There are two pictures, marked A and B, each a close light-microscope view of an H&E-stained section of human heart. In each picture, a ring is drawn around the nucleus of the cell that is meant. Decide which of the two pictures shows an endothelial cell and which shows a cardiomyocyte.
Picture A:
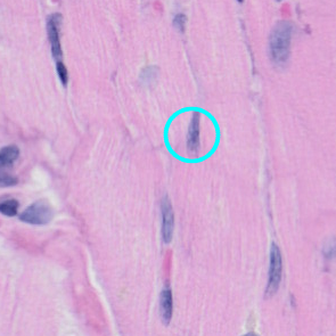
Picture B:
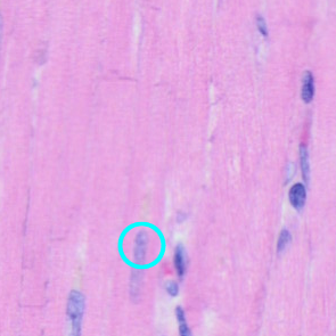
A: endothelial cell
B: cardiomyocyte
